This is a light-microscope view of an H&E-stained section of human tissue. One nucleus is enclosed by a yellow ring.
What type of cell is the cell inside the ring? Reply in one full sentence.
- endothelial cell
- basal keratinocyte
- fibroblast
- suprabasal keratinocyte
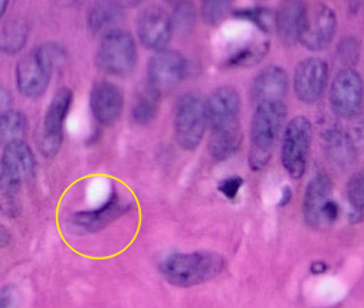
Recorded by type, the cell inside the ring is a fibroblast.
